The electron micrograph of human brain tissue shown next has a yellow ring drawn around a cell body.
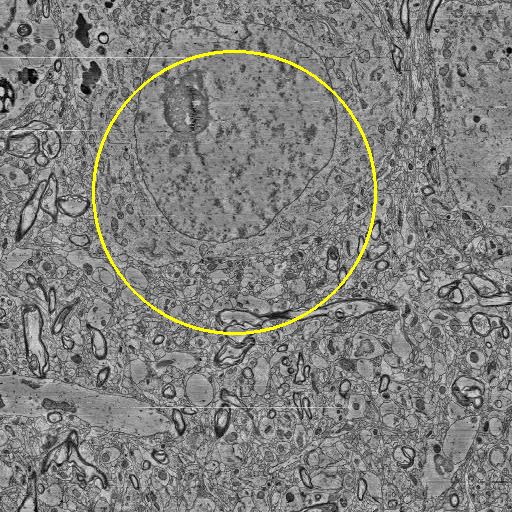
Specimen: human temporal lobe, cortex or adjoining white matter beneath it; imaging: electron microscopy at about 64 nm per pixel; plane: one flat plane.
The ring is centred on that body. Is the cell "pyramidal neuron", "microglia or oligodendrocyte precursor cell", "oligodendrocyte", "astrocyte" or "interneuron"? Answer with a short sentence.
The cell in question is a pyramidal neuron.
